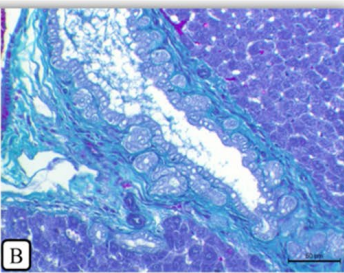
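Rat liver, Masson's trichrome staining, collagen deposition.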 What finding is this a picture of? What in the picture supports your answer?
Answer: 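Many small duct profiles lined by cuboidal epithelium crowd one area. The ducts lie within broad blue-green fibrous tissue. Hepatocyte cords lie at the lower edge. So: bile duct hyperplasia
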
